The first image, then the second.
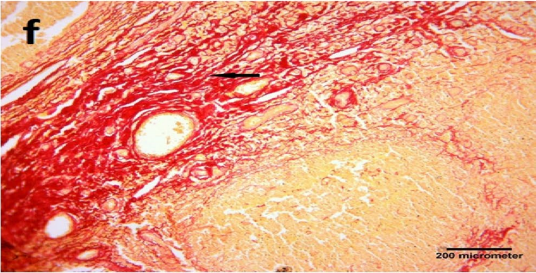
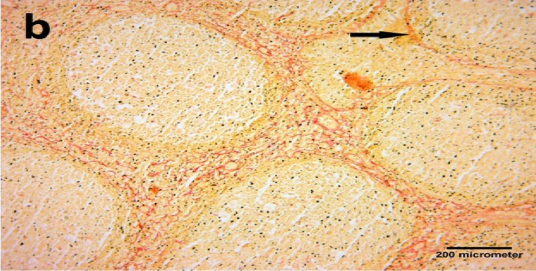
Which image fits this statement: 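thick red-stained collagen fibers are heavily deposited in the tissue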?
The first image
